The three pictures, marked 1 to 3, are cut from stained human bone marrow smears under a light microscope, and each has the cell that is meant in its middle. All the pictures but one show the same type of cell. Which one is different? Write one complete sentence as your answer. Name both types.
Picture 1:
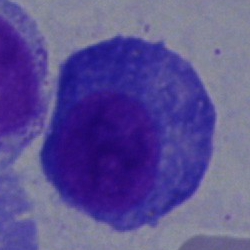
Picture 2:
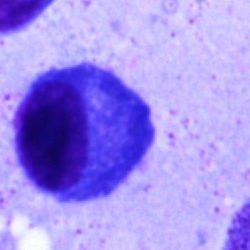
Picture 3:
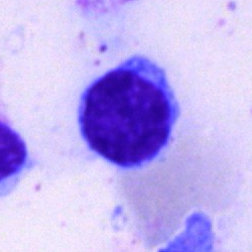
Picture 3 is the odd one out: it shows a lymphocyte, while the others show plasma cells.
